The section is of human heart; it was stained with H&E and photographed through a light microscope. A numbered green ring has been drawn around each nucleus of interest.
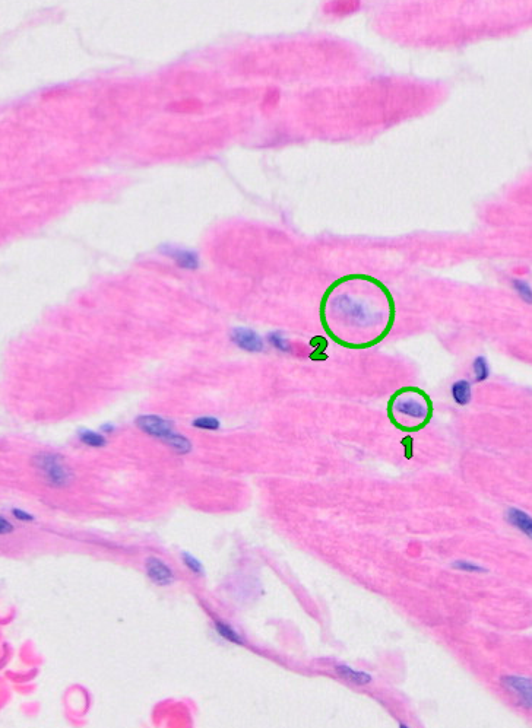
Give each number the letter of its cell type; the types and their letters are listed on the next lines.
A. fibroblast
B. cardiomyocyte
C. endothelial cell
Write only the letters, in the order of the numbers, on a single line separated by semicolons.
A; B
